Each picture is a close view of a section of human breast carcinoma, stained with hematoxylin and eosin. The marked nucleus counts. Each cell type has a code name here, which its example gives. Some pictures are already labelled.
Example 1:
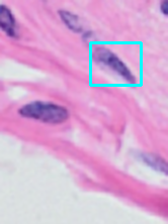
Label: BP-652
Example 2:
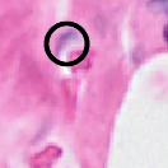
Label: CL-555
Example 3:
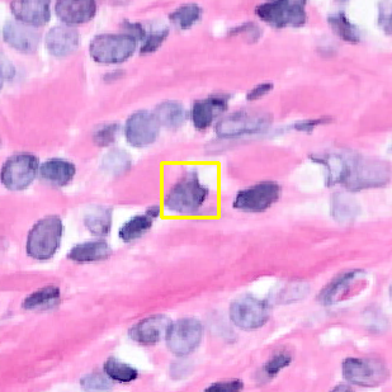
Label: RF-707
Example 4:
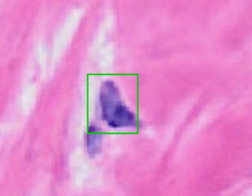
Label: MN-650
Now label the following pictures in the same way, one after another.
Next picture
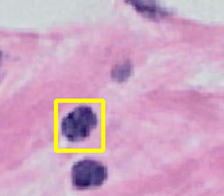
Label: MN-650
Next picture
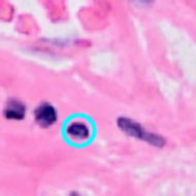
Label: MN-650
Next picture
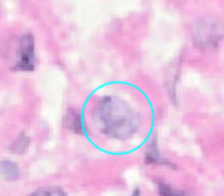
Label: RF-707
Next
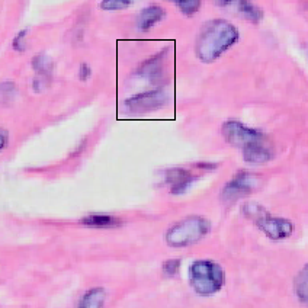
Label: CL-555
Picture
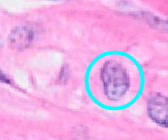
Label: RF-707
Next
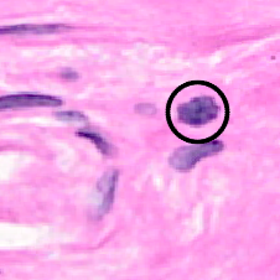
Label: MN-650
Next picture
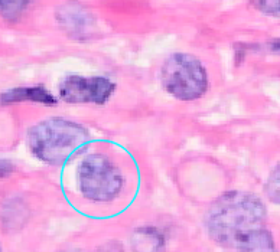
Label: RF-707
